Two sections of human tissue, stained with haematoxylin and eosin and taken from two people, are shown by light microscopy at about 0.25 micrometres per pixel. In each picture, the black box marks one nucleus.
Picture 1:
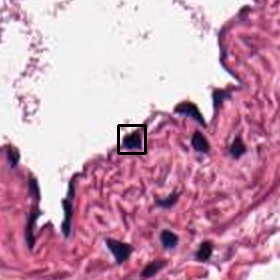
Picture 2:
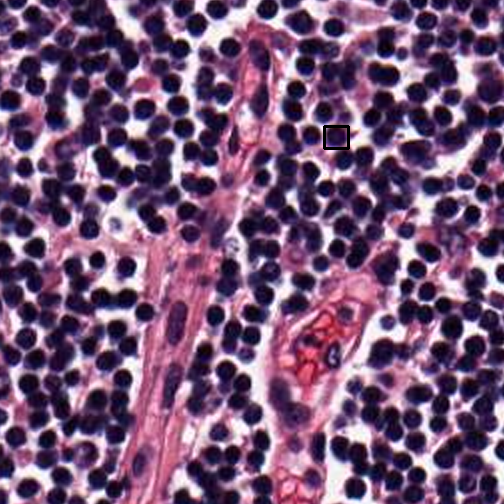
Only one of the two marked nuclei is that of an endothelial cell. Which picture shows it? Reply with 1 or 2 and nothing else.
1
